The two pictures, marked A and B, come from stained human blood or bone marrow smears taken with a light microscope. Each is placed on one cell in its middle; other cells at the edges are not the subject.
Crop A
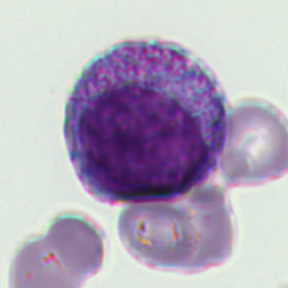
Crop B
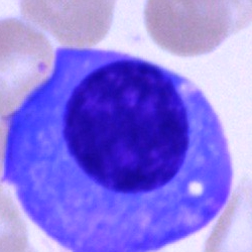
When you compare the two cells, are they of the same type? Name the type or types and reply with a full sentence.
No, sorry, crop A shows a myelocyte and crop B shows a plasma cell.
